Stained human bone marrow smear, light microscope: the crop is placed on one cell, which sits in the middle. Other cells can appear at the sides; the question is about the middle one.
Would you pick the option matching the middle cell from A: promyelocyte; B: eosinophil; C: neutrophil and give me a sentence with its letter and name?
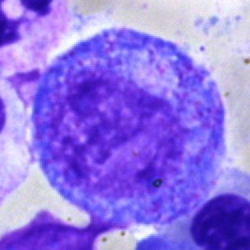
The central cell of the crop is a promyelocyte, which makes A the correct option.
